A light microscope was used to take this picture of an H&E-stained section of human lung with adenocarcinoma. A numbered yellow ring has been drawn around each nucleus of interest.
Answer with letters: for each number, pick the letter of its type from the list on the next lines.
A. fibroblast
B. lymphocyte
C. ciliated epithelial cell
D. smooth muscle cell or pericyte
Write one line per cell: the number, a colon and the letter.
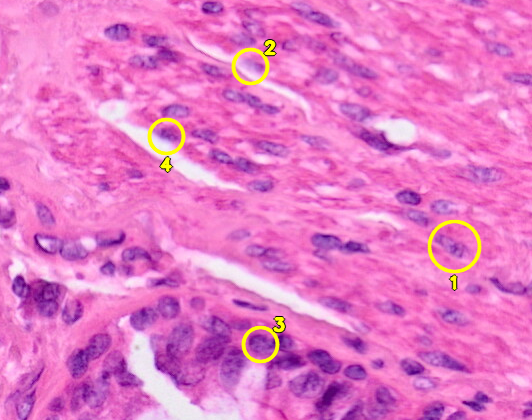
1: D
2: D
3: C
4: D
